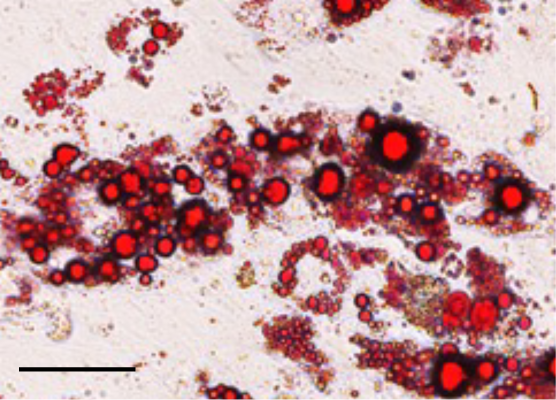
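Cultured cells packed with round, bright red droplets of many sizes, from tiny beads to large globules, lie in irregular clusters on a pale, unstained background. Between the clusters, faint outlines of cells with little or no red stain can be made out.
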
